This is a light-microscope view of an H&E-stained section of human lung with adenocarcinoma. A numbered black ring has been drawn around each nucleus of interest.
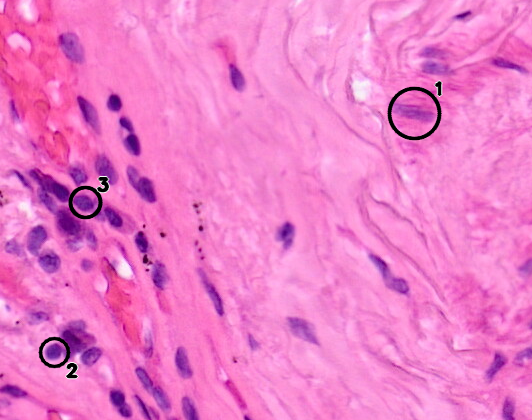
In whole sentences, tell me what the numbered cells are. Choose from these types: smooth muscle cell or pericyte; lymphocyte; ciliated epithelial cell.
Cell 1 is a smooth muscle cell or pericyte. Cells 2 and 3 are lymphocytes.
